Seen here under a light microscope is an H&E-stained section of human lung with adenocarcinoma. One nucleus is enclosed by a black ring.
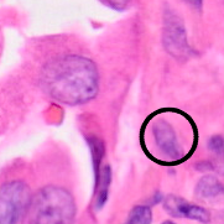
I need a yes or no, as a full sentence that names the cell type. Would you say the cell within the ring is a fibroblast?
Yes, in this section the cell within the ring is a fibroblast.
